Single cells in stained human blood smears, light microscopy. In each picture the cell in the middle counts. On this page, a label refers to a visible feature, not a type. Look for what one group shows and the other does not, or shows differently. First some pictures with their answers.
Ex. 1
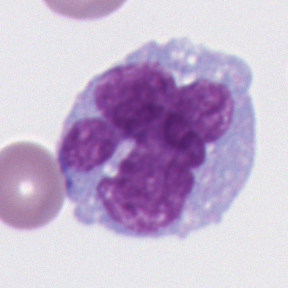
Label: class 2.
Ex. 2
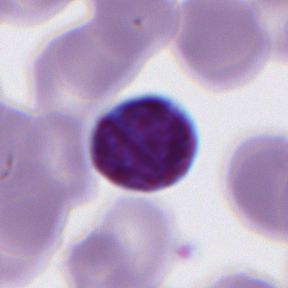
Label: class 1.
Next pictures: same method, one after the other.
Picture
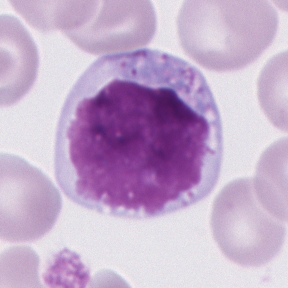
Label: class 1.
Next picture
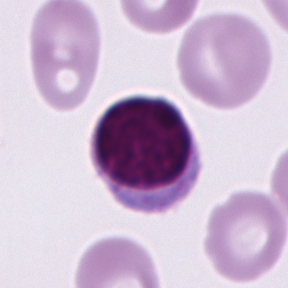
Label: class 1.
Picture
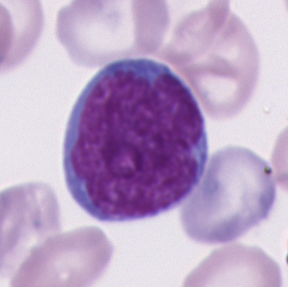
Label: class 1.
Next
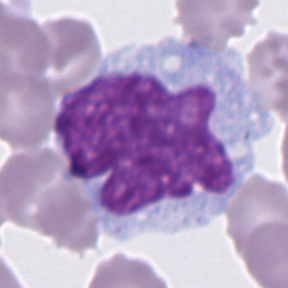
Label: class 2.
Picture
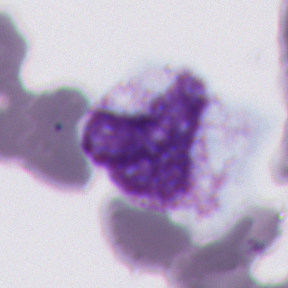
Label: class 2.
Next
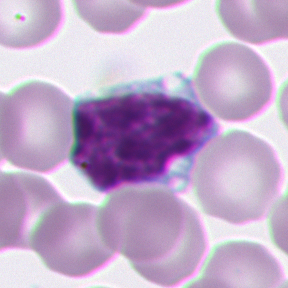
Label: class 2.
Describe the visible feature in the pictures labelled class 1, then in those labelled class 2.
Seen in class 1: smooth outline; seen in class 2: ragged outline or projections.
